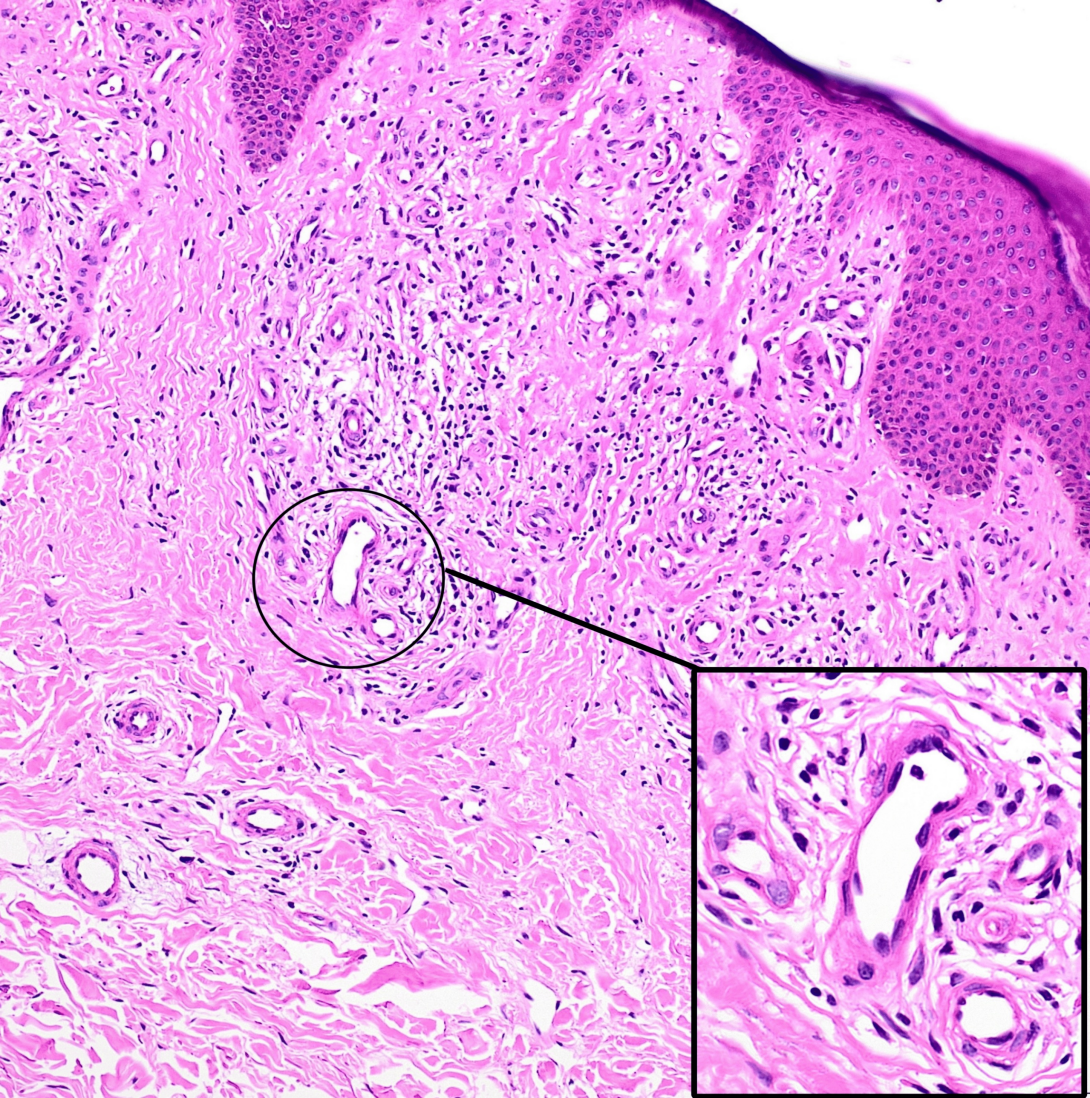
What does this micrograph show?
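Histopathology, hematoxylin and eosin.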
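This section of skin shows the dermis with many small blood vessels lined by plump endothelial cells and surrounded by lymphocytes. Stratified squamous epidermis with downward-projecting rete ridges runs along the upper right edge. It overlies a cellular upper dermis crowded with small vessels and scattered small cells with dark, round nuclei. Deeper down, the dermis consists of pink collagen bundles with fewer cells. Several vessels there have thicker pink walls around round lumina.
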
